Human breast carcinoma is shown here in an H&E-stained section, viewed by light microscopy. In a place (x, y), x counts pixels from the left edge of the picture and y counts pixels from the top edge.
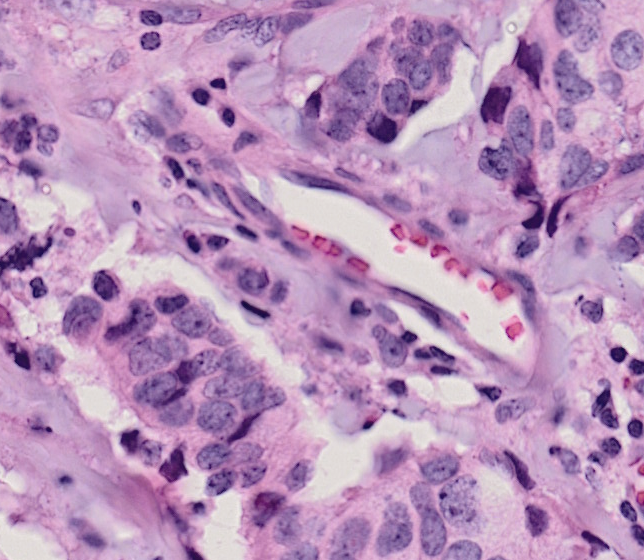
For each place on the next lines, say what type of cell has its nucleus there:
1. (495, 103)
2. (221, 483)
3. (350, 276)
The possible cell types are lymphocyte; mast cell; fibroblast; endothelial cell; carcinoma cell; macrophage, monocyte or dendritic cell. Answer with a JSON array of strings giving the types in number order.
["carcinoma cell", "carcinoma cell", "endothelial cell"]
